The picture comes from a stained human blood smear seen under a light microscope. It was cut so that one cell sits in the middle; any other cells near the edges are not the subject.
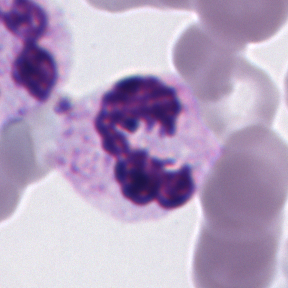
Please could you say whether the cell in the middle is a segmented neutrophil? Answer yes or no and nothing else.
yes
